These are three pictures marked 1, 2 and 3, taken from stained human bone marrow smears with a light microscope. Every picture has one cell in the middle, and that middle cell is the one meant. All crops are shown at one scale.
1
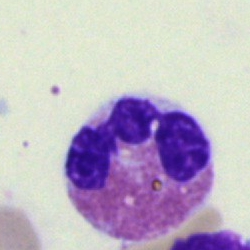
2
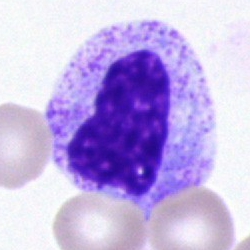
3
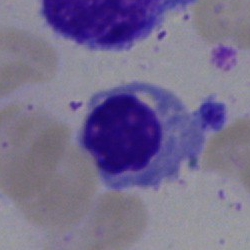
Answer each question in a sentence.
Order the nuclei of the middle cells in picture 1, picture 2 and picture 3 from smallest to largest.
Smallest first: 3, 1, 2.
